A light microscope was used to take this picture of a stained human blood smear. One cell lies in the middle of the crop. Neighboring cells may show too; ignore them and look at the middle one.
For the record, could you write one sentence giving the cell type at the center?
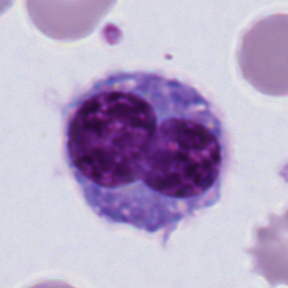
The target cell in the middle of the crop is a plasma cell.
